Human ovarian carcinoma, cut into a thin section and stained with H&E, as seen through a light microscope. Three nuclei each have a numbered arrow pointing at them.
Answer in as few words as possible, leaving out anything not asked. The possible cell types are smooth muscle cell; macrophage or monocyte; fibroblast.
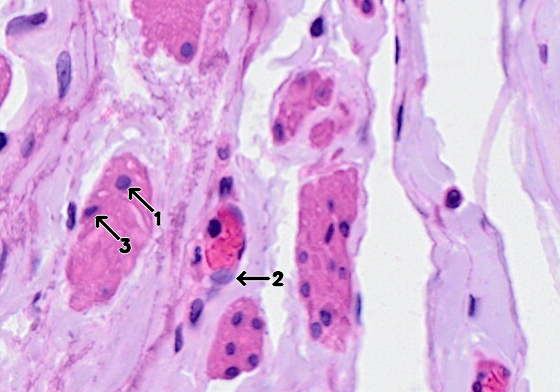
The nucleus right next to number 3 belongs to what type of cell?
macrophage or monocyte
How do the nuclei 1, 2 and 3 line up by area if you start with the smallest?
3, 1, 2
